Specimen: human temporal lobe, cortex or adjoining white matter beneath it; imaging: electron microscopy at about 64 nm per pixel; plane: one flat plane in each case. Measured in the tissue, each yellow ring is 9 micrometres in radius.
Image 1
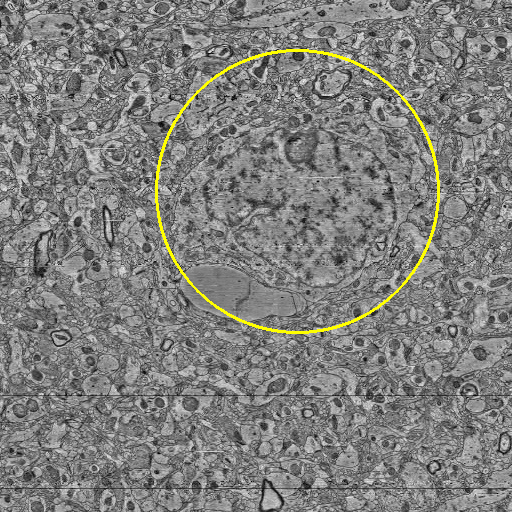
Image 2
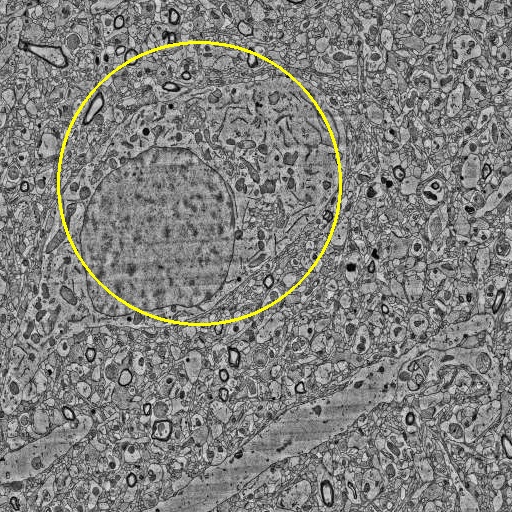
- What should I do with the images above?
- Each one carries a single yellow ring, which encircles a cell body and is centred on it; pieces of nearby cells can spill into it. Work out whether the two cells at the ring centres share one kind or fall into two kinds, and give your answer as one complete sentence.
The ring-centre cells of Image 1 and Image 2 share one kind.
